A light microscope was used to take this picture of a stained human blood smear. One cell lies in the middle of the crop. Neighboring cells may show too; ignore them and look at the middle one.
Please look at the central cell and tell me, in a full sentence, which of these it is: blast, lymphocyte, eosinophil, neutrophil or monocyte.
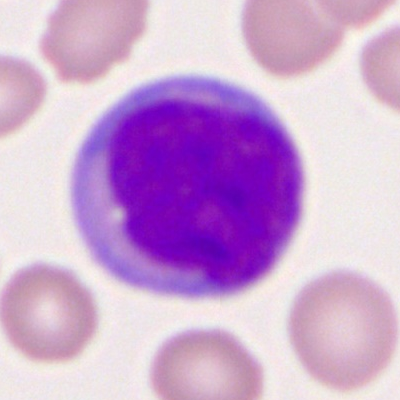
At the center of the crop sits a blast.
